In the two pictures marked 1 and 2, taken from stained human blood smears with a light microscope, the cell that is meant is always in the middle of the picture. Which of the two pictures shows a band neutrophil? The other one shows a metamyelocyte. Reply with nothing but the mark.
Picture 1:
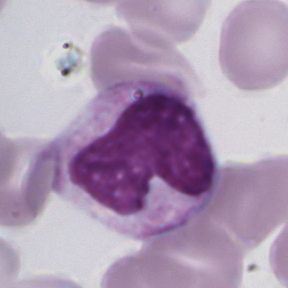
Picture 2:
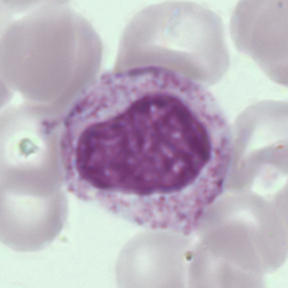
1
